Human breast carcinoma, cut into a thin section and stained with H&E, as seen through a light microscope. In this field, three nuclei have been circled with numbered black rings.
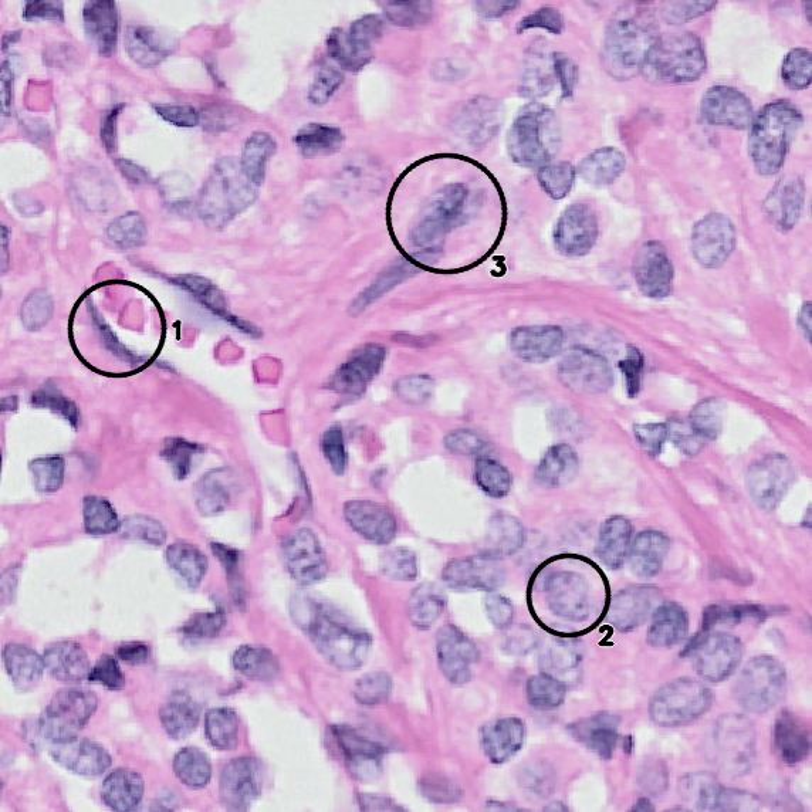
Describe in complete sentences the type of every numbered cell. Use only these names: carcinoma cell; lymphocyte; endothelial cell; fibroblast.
Cell 1 is an endothelial cell, cell 2 is a carcinoma cell and cell 3 is an endothelial cell.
